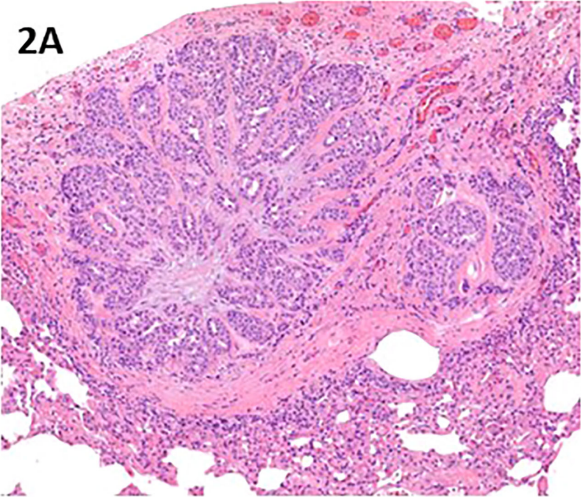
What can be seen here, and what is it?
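A nodule of acinar and solid adenocarcinoma sits within lung tissue. Crowded epithelial tumor cells with dark purple nuclei and scant pink cytoplasm form rounded nests. Some nests enclose small gland-like lumens, while others are solid sheets without lumens. Bands of pink fibrous stroma radiate between the nests and wrap around the nodule. Alveolar lung tissue with open air spaces and red blood-filled vessels lies at the margins.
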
